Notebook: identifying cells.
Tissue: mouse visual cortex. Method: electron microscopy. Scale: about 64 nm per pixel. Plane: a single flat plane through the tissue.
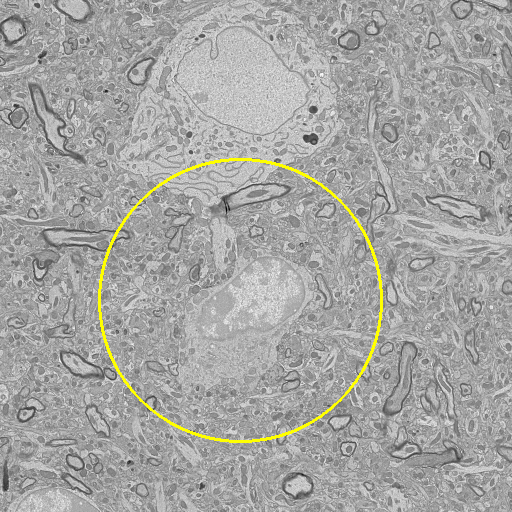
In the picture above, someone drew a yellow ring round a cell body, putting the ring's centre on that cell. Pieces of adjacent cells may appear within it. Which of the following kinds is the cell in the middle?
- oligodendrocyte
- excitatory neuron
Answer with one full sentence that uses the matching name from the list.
In this picture, the yellow ring is centred on the body of an oligodendrocyte.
